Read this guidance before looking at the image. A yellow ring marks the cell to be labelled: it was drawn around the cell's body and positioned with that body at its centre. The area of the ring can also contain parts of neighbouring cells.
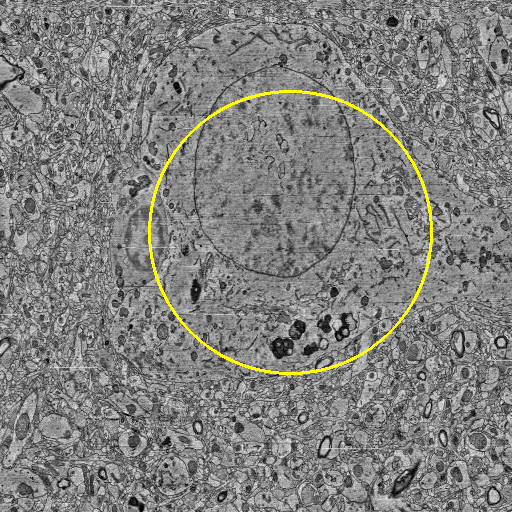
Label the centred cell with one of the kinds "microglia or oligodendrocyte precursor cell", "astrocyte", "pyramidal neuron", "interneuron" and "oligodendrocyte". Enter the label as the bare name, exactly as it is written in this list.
pyramidal neuron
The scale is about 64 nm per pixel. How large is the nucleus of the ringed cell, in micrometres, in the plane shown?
The nucleus works out at approximately 14 by 10 micrometres in this plane.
